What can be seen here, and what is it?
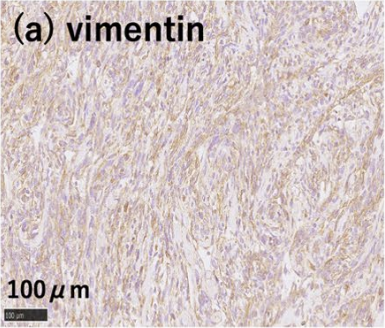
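The field is filled with densely packed tumor cells that are elongated and spindle-shaped, with oval to cigar-shaped blue nuclei. The cells run in interlacing streams and bundles that sweep in different directions across the field. Brown stain lies along the cytoplasm of nearly all the cells, outlining their slender bodies, while the nuclei stay blue. The picture is that of a cellular spindle-cell tumor with diffuse cytoplasmic staining.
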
